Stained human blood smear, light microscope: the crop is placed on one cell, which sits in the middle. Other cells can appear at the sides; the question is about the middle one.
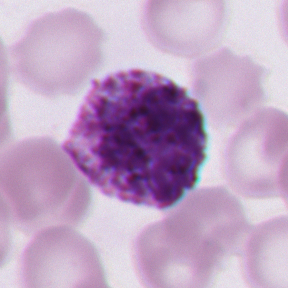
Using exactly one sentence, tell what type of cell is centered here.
What the crop centres on is a basophil.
